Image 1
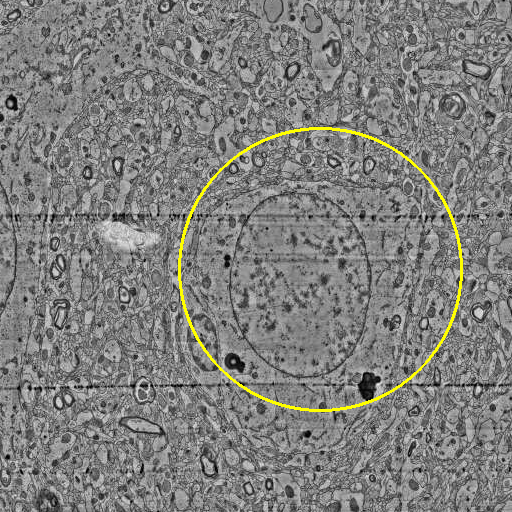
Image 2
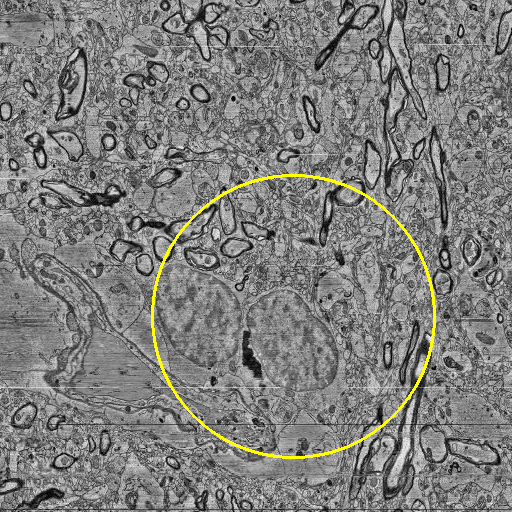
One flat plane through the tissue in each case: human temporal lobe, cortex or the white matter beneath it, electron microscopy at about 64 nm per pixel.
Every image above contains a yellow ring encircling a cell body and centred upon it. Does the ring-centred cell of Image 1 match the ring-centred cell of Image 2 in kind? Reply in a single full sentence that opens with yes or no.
No, the cell at the ring's centre in Image 1 is a separate kind from that in Image 2.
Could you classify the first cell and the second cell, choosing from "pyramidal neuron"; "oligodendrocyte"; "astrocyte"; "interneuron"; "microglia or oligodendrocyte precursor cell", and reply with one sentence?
The second cell is an oligodendrocyte, while the first is a pyramidal neuron.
